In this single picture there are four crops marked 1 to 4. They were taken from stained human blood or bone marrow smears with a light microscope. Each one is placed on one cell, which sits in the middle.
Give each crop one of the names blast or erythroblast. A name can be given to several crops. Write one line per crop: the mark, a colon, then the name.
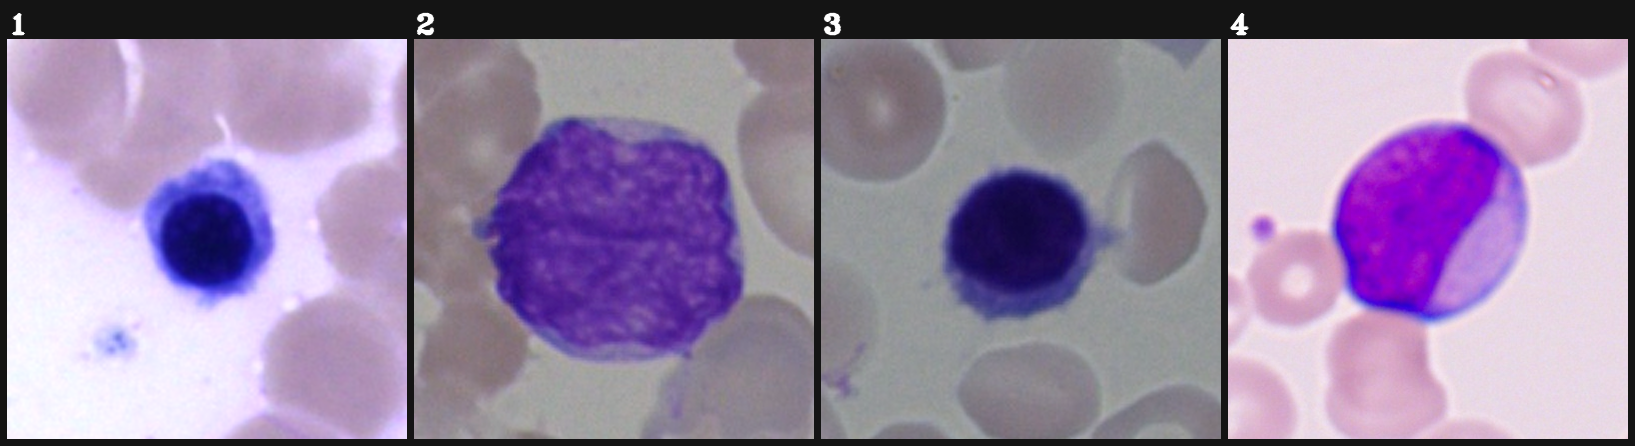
1: erythroblast
2: blast
3: erythroblast
4: blast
